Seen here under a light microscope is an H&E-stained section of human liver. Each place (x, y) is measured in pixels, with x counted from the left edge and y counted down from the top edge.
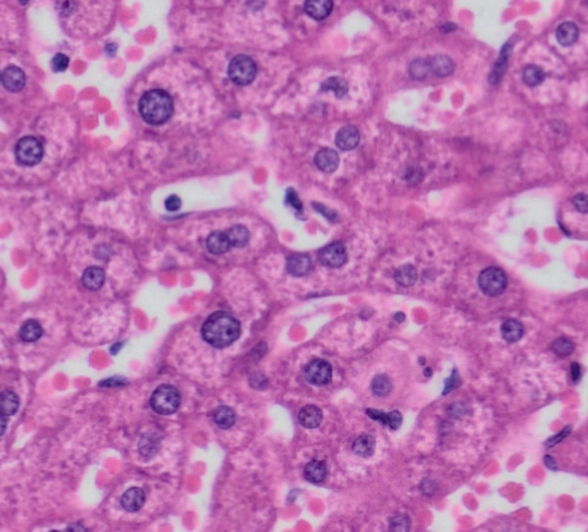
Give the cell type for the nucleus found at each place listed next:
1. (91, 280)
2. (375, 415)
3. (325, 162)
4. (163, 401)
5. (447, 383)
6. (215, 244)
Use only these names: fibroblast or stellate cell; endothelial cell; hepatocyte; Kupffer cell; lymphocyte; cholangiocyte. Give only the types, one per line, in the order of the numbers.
hepatocyte
fibroblast or stellate cell
hepatocyte
hepatocyte
endothelial cell
hepatocyte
